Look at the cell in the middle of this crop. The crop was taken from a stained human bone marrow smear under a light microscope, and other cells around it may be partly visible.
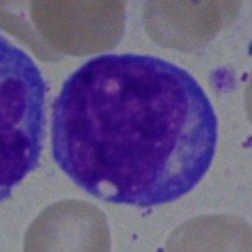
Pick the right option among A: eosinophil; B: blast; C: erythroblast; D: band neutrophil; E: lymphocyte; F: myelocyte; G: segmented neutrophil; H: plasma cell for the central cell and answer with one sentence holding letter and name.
Option B is correct, and the cell in the centre is a blast.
